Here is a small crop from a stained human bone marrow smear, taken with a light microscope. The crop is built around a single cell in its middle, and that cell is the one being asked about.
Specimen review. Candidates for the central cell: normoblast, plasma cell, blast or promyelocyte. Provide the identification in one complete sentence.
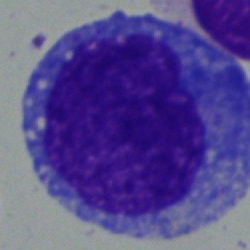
Positioned in the middle of the crop is a promyelocyte.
